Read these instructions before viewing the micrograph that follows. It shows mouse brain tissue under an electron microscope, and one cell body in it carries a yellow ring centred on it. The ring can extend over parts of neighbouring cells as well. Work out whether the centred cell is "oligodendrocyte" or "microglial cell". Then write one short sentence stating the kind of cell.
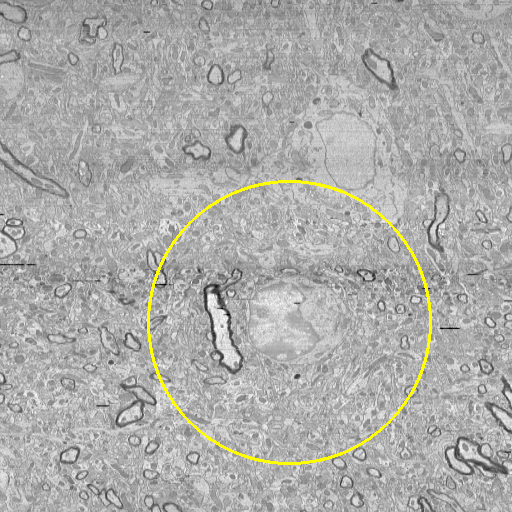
The ringed cell is an oligodendrocyte.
